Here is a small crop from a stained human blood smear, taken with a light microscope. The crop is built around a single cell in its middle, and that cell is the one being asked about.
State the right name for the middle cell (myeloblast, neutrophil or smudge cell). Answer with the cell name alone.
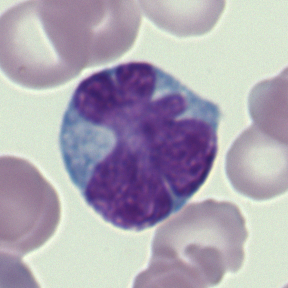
myeloblast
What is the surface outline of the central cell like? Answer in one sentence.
No projections interrupt the outline; it is smooth all the way round.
